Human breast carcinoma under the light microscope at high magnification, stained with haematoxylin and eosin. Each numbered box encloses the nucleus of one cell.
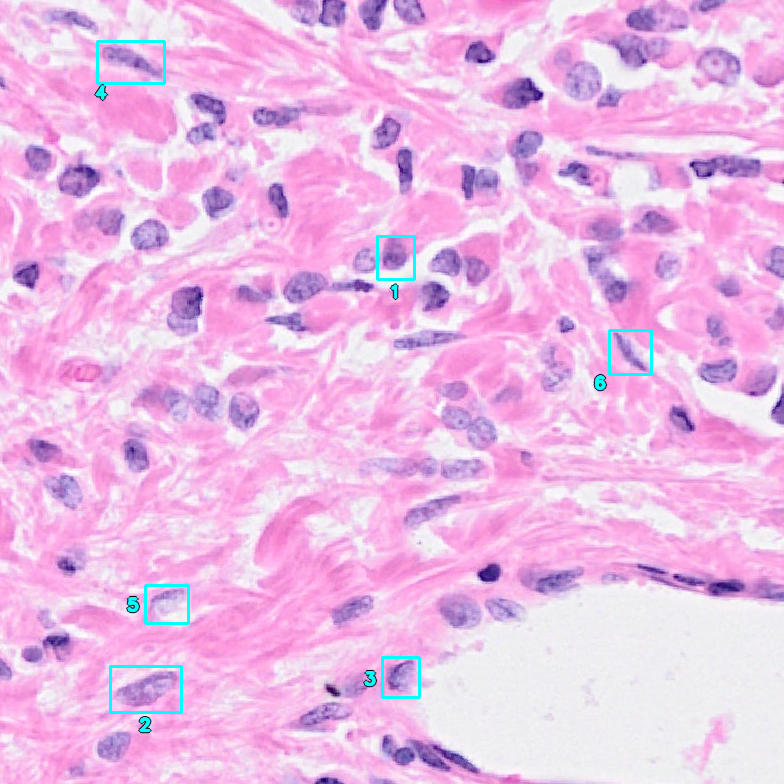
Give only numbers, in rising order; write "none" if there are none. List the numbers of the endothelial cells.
3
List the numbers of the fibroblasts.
2, 4, 5, 6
